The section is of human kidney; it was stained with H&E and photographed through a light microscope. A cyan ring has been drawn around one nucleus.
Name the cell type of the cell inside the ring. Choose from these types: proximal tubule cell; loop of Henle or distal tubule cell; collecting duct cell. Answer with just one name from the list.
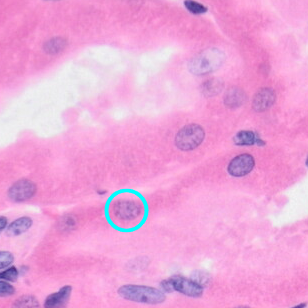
proximal tubule cell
